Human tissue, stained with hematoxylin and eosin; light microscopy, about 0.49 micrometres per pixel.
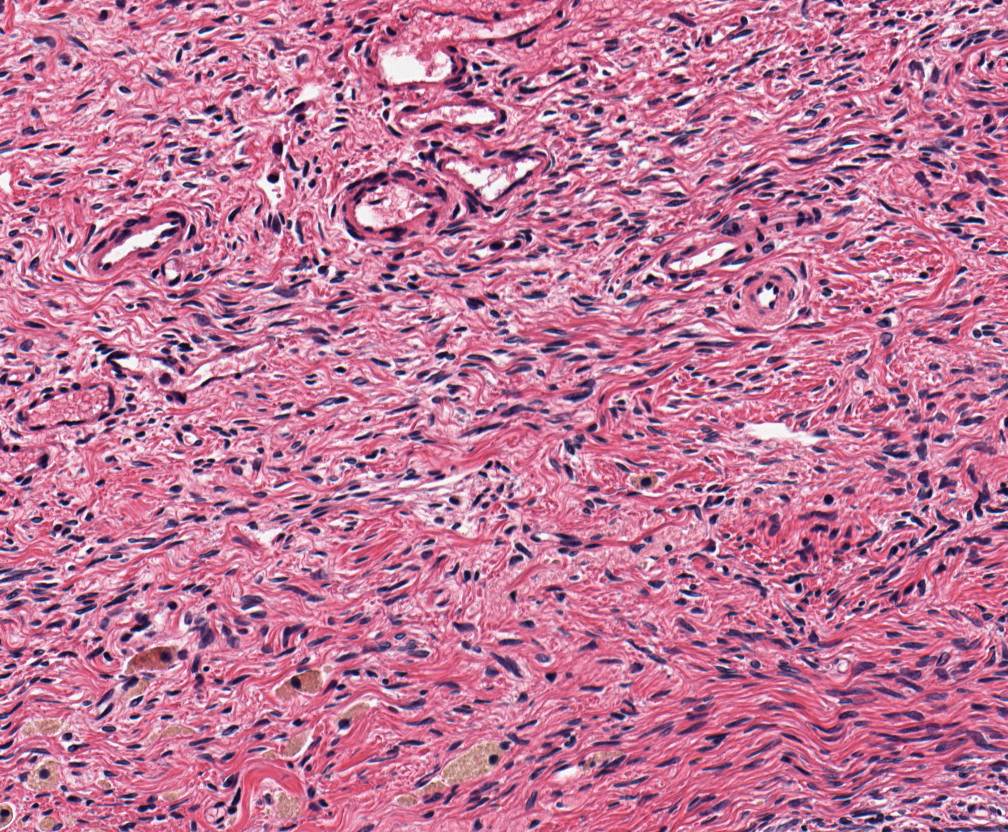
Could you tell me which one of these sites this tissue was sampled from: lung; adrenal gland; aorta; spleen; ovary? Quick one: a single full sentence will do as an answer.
Tissue for this slide was taken from the ovary.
